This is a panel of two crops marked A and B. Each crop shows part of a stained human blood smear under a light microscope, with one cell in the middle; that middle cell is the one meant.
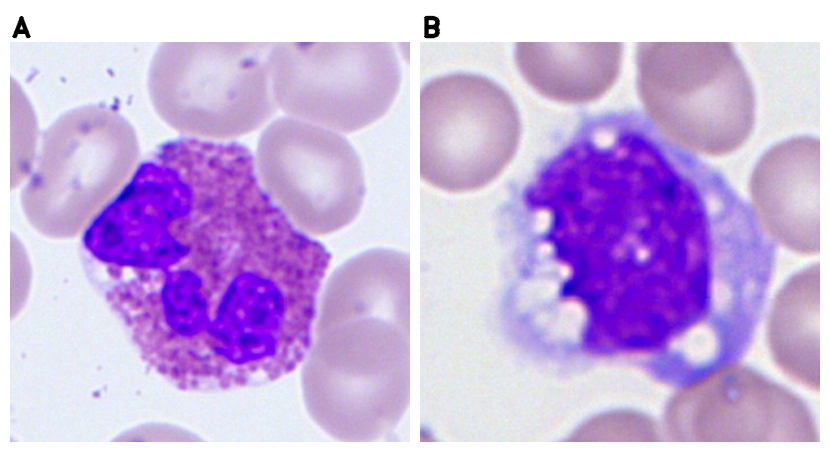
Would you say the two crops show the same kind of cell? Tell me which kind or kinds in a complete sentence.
No, look again: crop A shows an eosinophil, and crop B shows a monocyte.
